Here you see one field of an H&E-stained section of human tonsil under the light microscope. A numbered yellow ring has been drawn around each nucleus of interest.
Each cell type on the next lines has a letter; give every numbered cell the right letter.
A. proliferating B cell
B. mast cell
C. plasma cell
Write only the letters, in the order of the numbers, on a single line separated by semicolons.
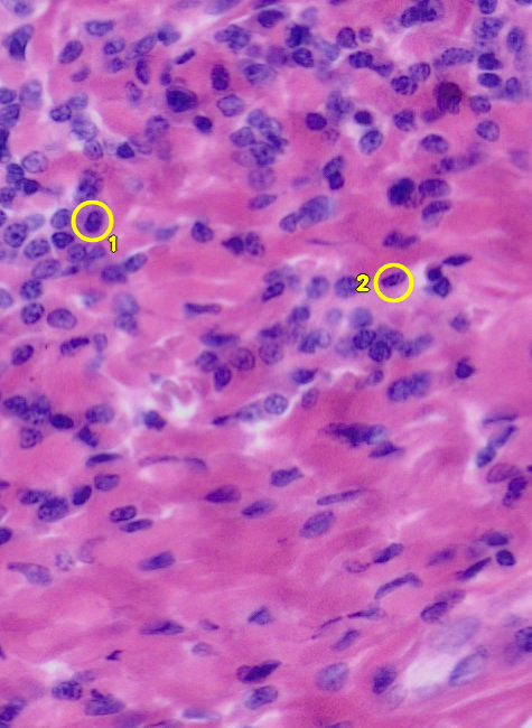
C; B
